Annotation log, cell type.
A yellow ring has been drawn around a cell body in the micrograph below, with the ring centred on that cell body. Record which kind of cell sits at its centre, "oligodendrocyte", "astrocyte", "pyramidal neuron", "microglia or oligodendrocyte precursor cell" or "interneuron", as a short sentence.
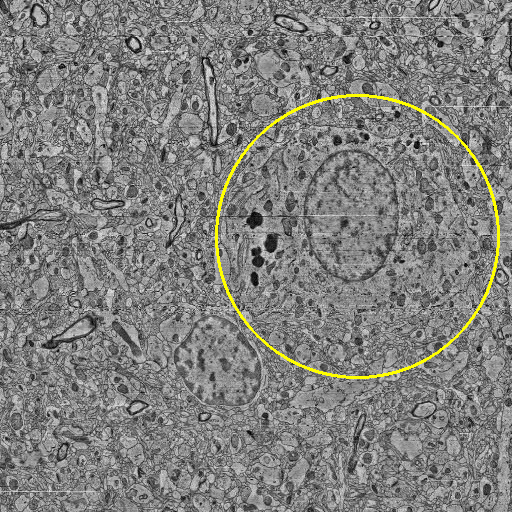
The cell at the centre of this ring is an interneuron.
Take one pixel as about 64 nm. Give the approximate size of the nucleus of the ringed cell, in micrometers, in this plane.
The nucleus works out at approximately 9 by 6 micrometres in this plane.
